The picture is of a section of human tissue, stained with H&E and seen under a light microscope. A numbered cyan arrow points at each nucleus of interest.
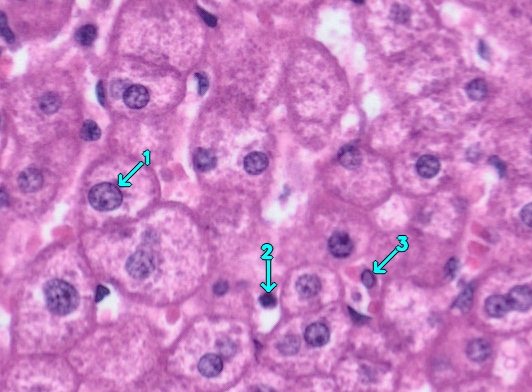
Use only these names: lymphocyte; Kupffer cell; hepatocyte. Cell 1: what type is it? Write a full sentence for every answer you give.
The cell numbered 1 represents a hepatocyte.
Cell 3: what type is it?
In the tissue shown, cell 3 is a Kupffer cell.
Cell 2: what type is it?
In the tissue shown, cell 2 is a lymphocyte.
